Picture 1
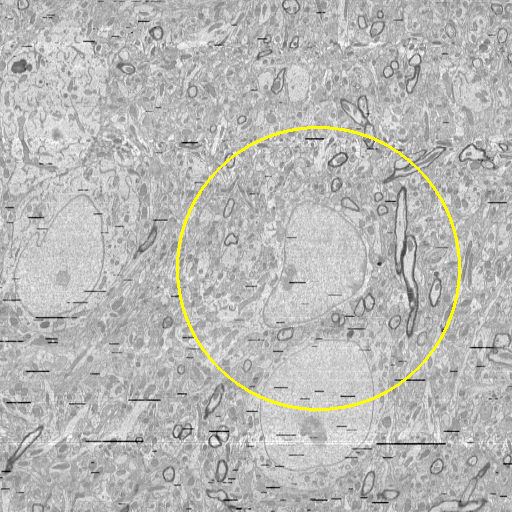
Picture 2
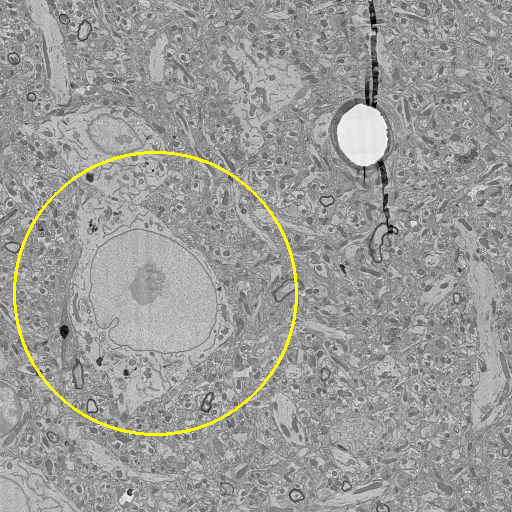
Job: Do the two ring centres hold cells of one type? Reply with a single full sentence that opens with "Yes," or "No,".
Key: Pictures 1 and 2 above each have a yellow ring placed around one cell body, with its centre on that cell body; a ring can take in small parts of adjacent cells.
No, the cells at the two ring centres are of two separate types.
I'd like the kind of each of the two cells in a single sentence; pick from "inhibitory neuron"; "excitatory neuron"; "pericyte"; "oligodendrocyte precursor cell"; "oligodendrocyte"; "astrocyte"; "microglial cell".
The first ring marks an astrocyte, and the second ring marks an excitatory neuron.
